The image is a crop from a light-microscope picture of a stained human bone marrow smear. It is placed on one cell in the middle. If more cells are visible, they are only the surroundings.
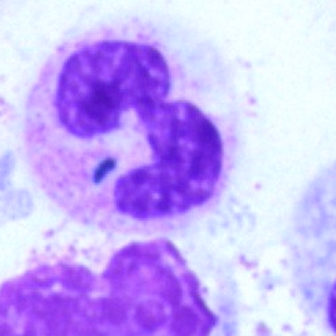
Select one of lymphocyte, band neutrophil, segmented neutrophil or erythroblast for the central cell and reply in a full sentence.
Present in the middle of the crop is a segmented neutrophil.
